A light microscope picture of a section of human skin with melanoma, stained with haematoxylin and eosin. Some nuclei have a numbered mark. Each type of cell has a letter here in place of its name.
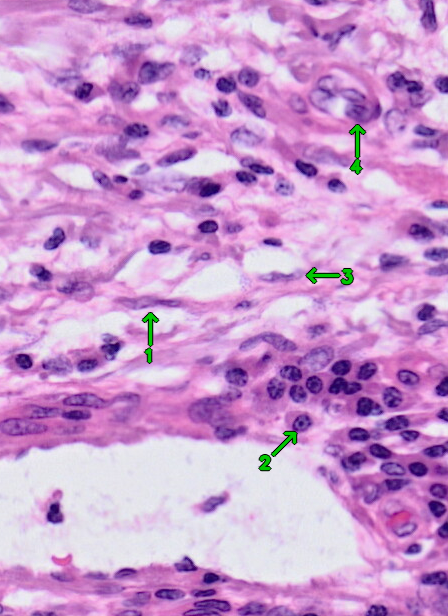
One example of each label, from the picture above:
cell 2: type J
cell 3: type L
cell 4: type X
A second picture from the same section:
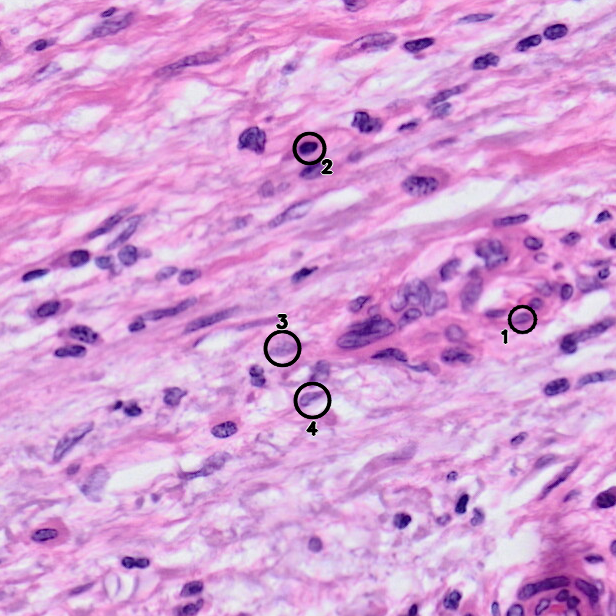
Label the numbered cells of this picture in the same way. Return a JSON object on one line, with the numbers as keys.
{"1": "type X", "2": "type J", "3": "type L", "4": "type L"}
